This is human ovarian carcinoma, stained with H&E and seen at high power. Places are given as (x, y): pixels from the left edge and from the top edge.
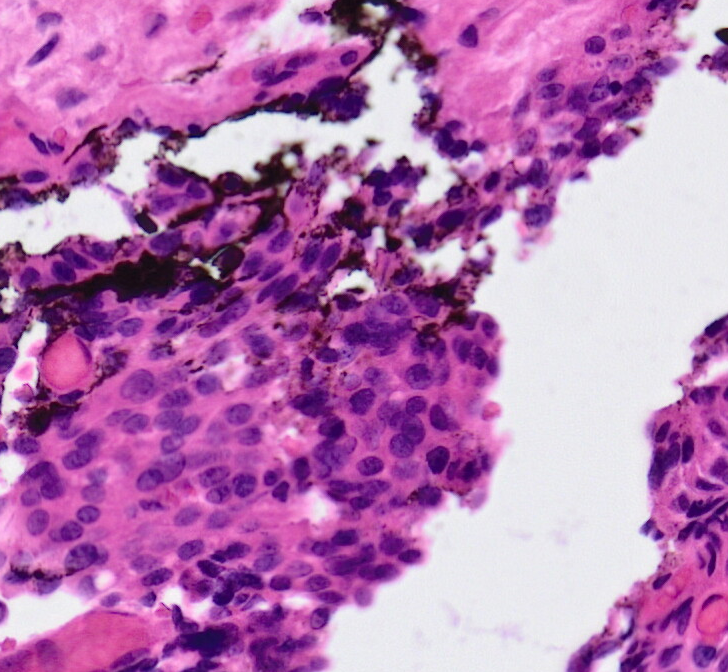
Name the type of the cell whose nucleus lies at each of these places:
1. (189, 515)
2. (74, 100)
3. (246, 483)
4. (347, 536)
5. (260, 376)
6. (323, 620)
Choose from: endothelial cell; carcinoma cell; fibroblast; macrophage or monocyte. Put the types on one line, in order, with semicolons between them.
carcinoma cell; fibroblast; carcinoma cell; carcinoma cell; carcinoma cell; macrophage or monocyte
